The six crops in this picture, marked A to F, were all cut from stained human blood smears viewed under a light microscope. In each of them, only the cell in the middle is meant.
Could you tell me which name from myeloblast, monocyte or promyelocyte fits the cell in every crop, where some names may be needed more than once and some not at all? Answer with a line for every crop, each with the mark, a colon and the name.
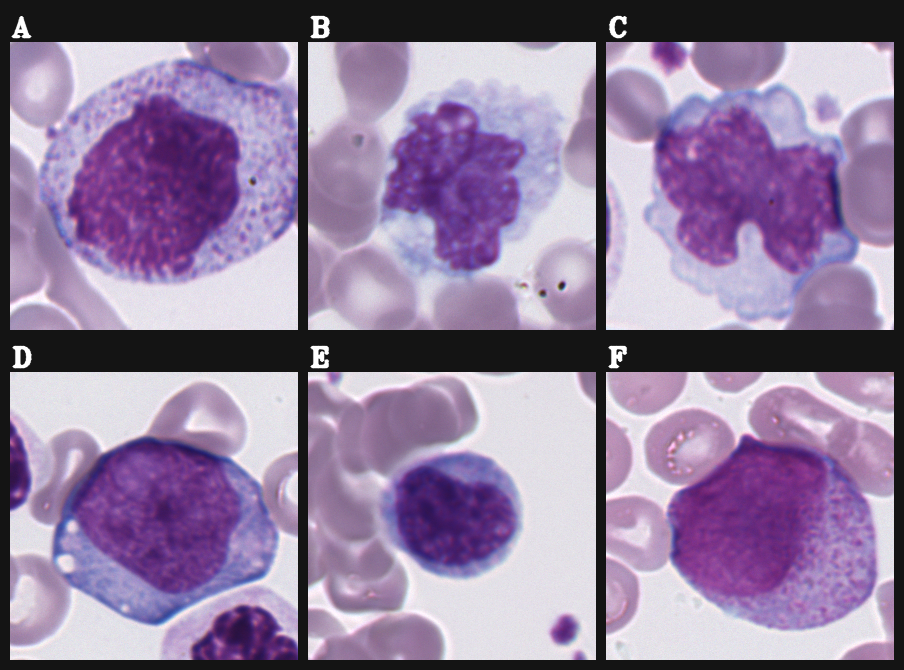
A: promyelocyte
B: monocyte
C: monocyte
D: promyelocyte
E: monocyte
F: promyelocyte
